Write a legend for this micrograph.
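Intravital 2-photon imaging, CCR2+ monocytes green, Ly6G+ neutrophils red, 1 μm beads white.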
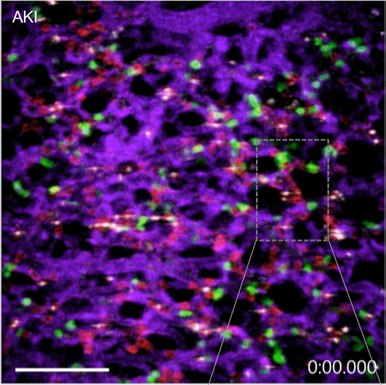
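A dense purple mesh of narrow lung capillaries surrounds dark, rounded alveolar spaces. Green cells sit in the vessels, several of them at the end of or beside the rows of red cells.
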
